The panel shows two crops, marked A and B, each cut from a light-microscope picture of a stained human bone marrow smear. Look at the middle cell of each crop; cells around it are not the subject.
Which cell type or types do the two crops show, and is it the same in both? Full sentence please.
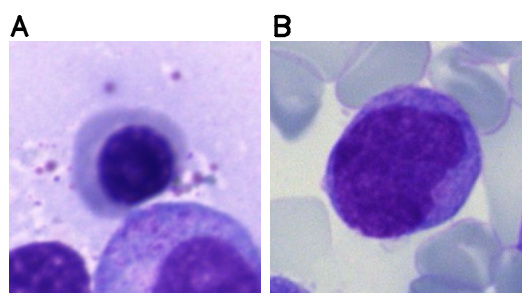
No, on this set crop A shows an erythroblast and crop B shows a blast.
